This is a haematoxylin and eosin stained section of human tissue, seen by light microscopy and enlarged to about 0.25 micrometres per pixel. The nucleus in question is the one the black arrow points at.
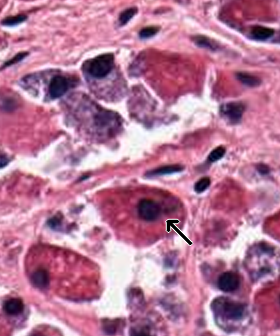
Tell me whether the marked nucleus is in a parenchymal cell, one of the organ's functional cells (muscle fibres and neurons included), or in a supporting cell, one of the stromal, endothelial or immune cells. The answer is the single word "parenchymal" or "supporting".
parenchymal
